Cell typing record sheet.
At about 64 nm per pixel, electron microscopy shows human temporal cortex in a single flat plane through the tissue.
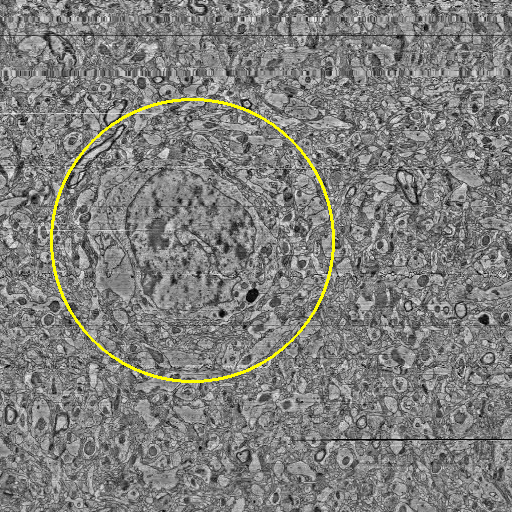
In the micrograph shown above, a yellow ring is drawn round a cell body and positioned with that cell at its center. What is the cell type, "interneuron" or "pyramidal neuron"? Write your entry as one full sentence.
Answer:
The cell body at the center of the ring belongs to an interneuron.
